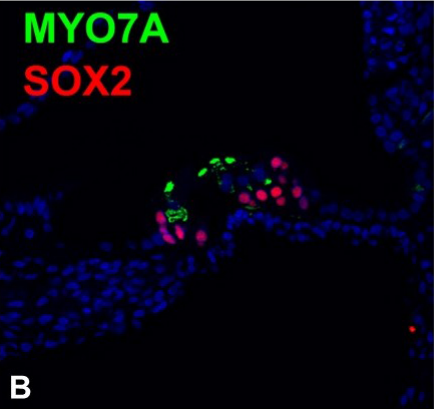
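This is a cross-section through the organ of Corti of the cochlea, with hair cells and supporting cells. A small raised cluster of cells sits on a thin membrane lined by a layer of blue nuclei. Green-stained hair cells lie at the upper surface of the cluster. Below and beside them, cells with red nuclei form the supporting layer.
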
